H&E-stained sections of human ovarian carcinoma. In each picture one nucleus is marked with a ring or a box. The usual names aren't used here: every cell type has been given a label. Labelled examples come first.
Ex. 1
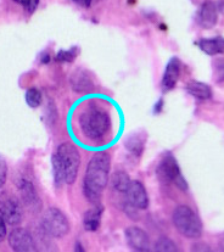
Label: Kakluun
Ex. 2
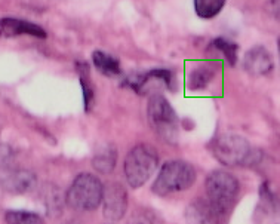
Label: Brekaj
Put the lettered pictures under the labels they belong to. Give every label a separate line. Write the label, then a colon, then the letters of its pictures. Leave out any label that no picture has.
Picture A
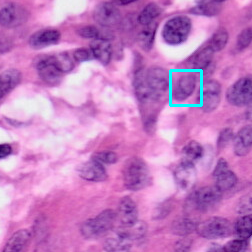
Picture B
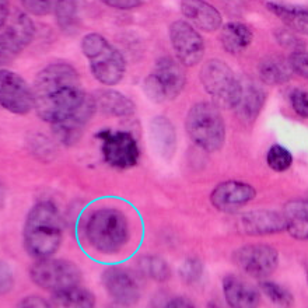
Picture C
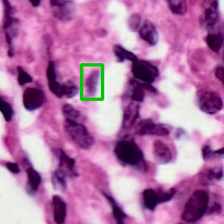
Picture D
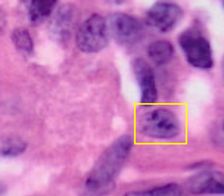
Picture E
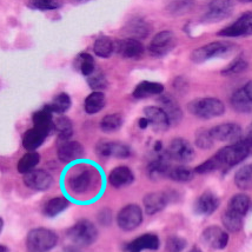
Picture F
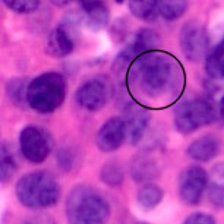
Kakluun: A, B, E, F
Brekaj: C, D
